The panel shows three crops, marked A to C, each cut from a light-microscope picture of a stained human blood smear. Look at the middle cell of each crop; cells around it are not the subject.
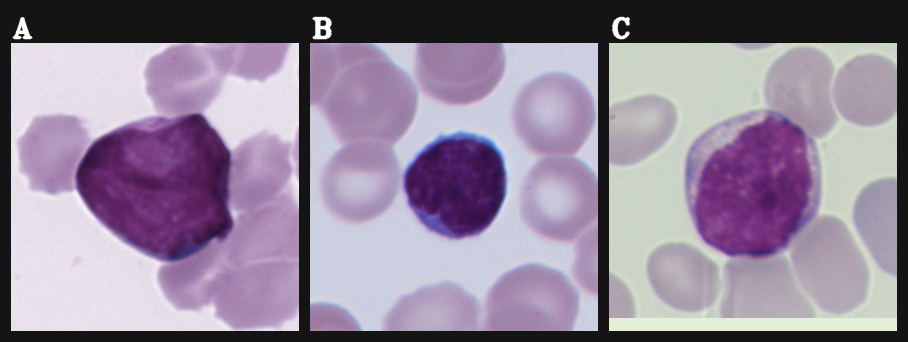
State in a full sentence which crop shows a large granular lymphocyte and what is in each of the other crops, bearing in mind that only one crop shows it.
Crop C has a large granular lymphocyte as its central cell, while crop A is a myeloblast and crop B is a typical lymphocyte.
